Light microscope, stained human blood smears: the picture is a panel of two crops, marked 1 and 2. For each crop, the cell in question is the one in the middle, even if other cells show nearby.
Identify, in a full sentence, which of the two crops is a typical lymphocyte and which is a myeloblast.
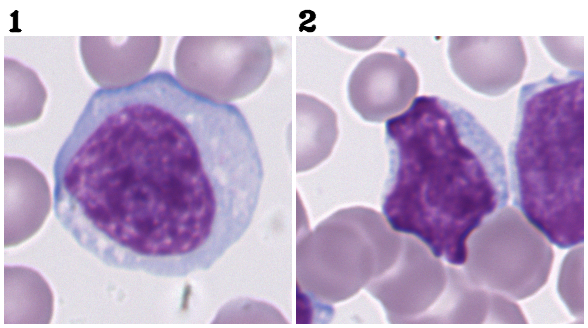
Taken crop by crop, crop 1 is a myeloblast and crop 2 is a typical lymphocyte.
